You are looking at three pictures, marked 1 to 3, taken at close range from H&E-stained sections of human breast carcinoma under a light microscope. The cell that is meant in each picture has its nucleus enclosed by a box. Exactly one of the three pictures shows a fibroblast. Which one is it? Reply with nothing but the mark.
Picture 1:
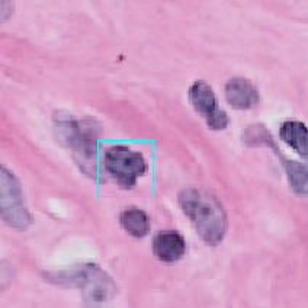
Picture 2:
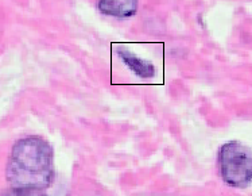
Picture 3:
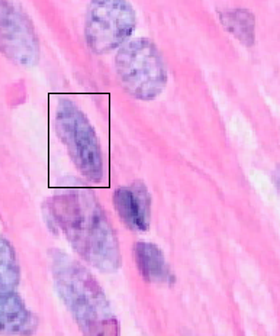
2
